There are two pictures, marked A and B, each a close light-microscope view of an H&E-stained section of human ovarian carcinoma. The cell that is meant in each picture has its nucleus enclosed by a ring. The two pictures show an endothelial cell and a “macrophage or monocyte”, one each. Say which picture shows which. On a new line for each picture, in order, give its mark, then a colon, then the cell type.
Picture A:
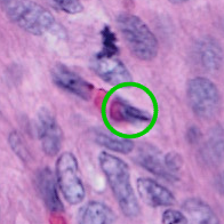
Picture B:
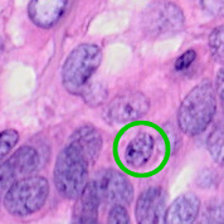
A: endothelial cell
B: macrophage or monocyte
